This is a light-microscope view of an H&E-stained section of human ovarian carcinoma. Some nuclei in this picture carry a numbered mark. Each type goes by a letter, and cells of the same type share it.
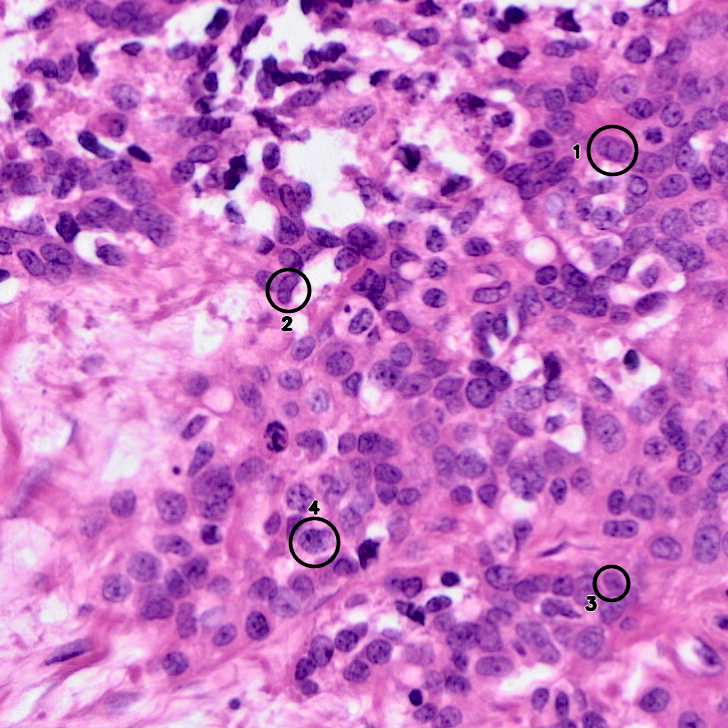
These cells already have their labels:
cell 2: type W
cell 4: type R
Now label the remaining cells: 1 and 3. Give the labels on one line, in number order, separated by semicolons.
type W; type W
